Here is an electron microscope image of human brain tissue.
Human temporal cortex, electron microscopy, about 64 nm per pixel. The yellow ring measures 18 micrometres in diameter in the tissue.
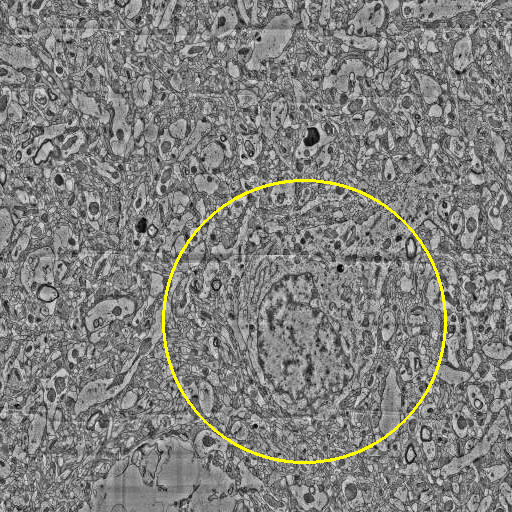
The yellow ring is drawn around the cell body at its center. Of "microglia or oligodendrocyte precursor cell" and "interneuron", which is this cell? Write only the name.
interneuron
